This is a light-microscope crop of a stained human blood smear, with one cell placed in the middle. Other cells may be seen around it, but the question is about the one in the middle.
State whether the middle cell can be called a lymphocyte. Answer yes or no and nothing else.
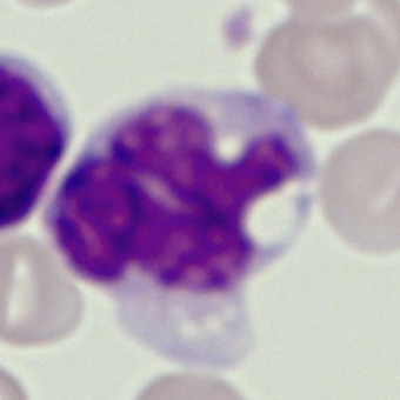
no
